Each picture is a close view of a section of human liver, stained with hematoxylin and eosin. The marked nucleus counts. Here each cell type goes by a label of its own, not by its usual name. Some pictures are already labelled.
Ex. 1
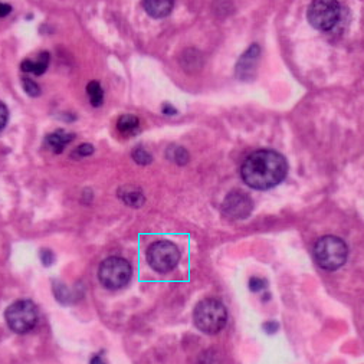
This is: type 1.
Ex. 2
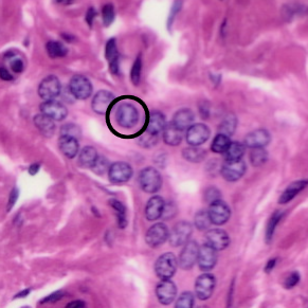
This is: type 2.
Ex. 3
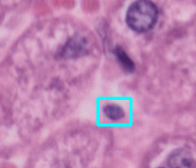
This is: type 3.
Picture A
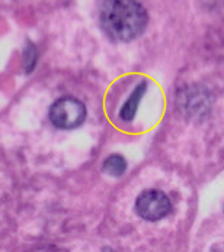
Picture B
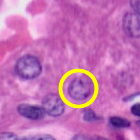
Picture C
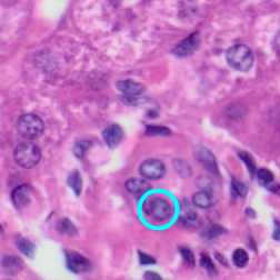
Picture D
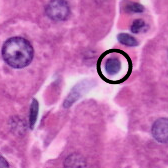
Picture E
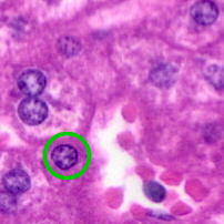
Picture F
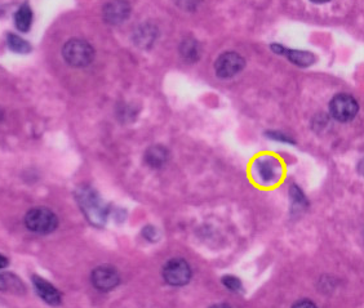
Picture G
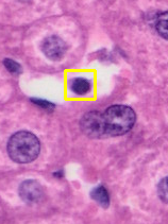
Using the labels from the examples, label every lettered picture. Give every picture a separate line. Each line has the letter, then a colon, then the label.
A: type 3.
B: type 2.
C: type 2.
D: type 3.
E: type 1.
F: type 3.
G: type 3.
